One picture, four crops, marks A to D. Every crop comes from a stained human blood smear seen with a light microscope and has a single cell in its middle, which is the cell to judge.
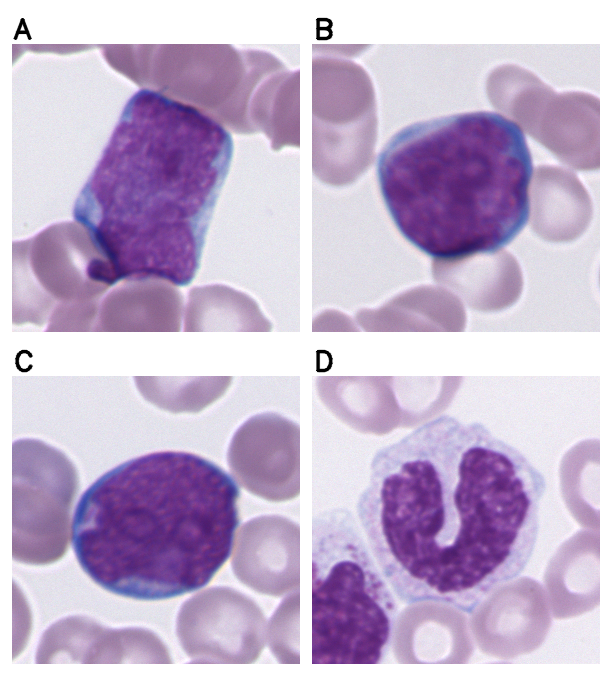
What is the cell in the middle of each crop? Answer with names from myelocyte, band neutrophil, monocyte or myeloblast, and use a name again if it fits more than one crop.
A: myeloblast
B: myeloblast
C: myeloblast
D: monocyte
